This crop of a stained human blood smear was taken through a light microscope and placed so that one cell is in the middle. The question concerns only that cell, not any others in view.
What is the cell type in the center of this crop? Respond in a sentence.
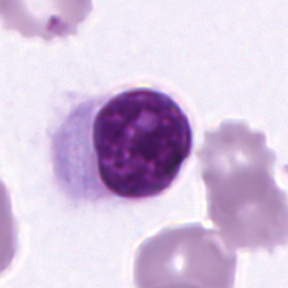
Centrally within this crop lies a plasma cell.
